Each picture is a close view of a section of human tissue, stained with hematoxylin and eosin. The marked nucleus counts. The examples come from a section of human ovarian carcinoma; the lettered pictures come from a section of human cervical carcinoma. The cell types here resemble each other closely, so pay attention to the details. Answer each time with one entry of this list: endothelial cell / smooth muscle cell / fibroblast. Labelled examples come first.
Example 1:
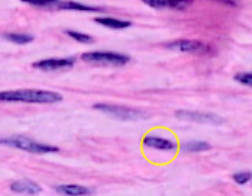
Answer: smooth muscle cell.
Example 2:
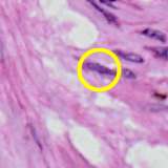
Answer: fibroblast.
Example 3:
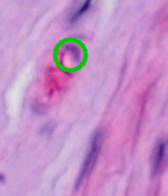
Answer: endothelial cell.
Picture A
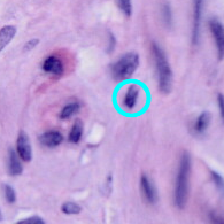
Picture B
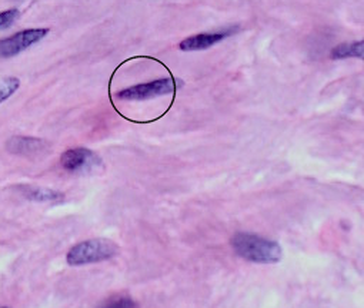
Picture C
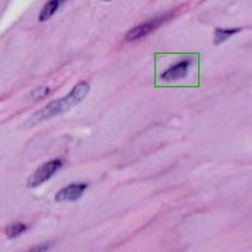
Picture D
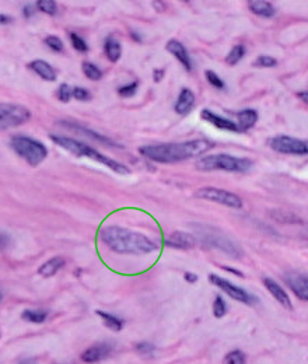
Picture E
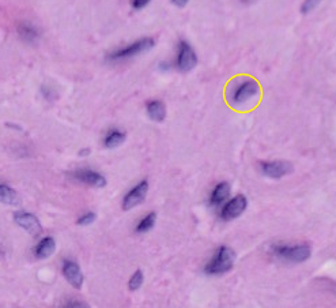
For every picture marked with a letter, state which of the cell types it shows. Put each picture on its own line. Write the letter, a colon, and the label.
A: fibroblast.
B: fibroblast.
C: fibroblast.
D: smooth muscle cell.
E: fibroblast.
